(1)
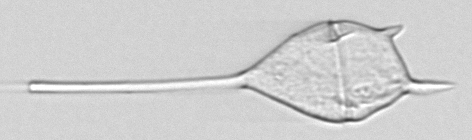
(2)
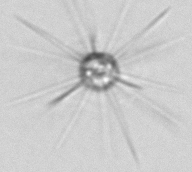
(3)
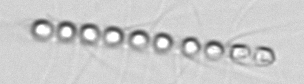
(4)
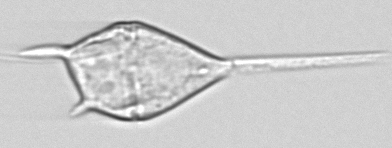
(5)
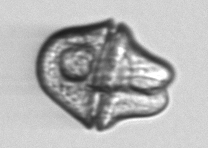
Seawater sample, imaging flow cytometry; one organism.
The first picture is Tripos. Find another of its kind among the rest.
Picture 4.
